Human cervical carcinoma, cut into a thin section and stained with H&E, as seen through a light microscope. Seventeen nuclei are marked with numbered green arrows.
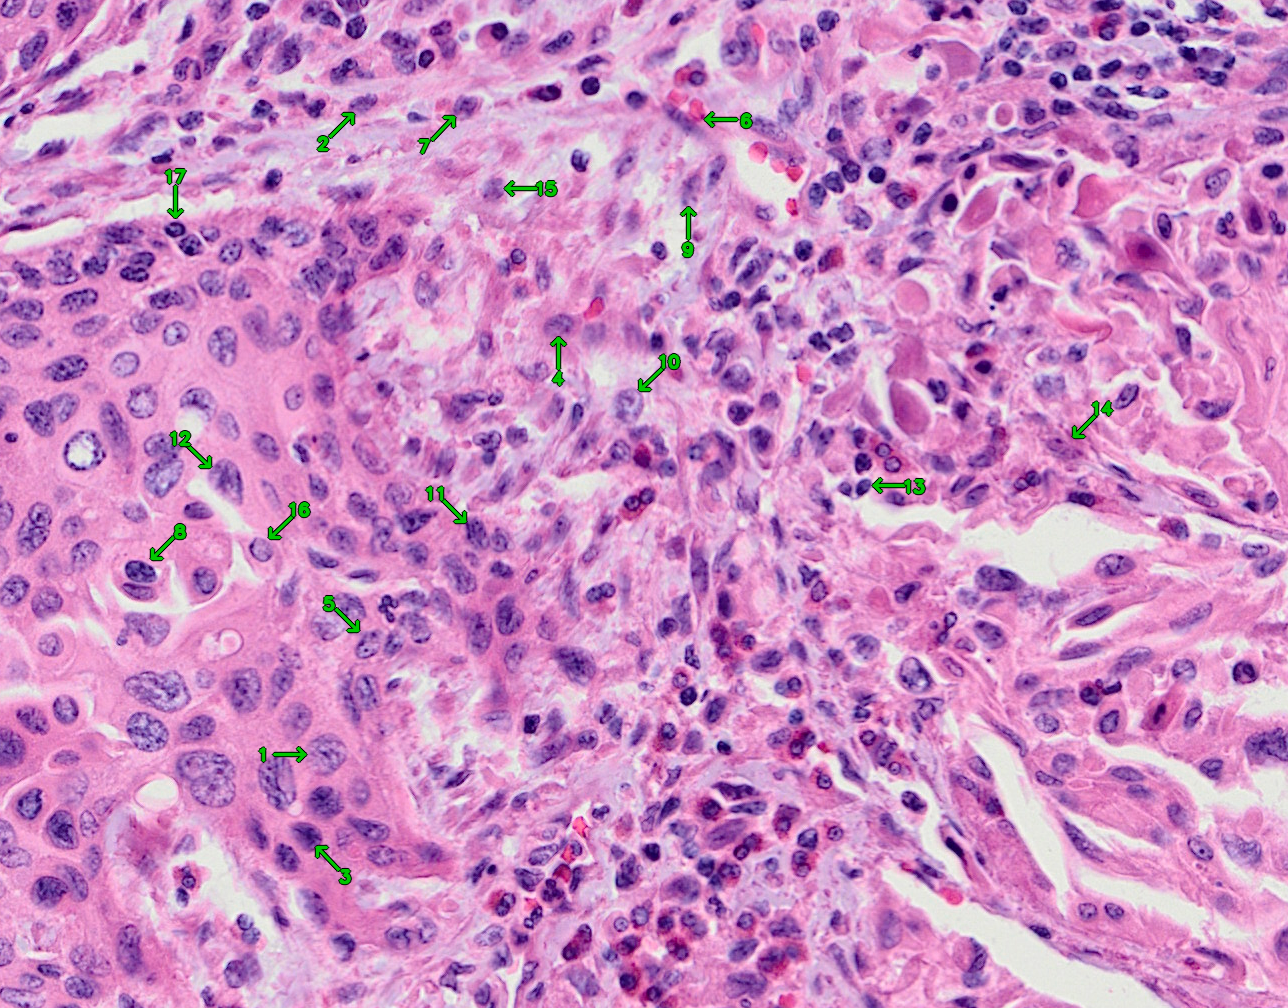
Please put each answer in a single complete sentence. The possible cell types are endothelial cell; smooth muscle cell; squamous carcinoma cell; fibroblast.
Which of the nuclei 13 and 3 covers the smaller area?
The smaller nucleus is 13, and 3 covers roughly 2.5 times its area.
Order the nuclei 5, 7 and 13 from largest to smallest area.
Largest first, the order by area is 5, 7, 13.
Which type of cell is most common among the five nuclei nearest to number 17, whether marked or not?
Squamous carcinoma cells account for more than half of the five nuclei nearest to number 17.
